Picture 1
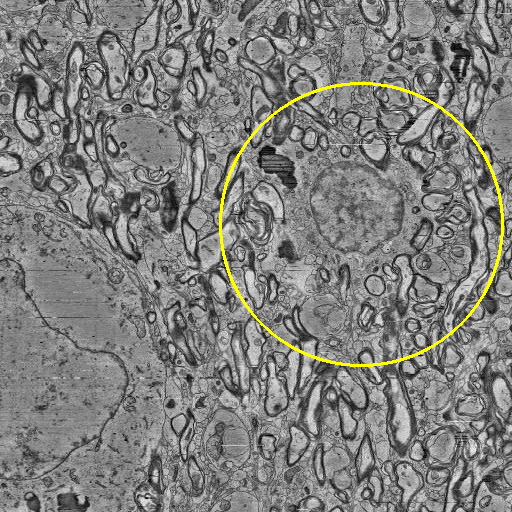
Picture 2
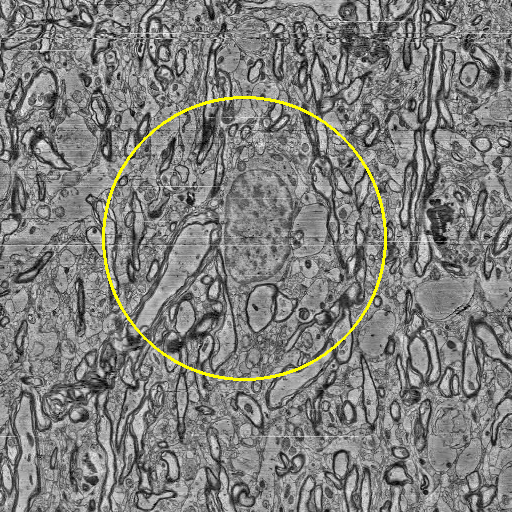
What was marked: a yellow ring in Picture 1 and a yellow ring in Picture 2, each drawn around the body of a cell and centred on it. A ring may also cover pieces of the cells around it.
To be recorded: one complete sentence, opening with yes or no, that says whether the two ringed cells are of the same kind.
Yes, the two ringed cells are of the same kind.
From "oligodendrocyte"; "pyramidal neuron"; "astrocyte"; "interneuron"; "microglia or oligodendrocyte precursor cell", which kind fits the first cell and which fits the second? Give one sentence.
Each of the two rings surrounds an oligodendrocyte.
